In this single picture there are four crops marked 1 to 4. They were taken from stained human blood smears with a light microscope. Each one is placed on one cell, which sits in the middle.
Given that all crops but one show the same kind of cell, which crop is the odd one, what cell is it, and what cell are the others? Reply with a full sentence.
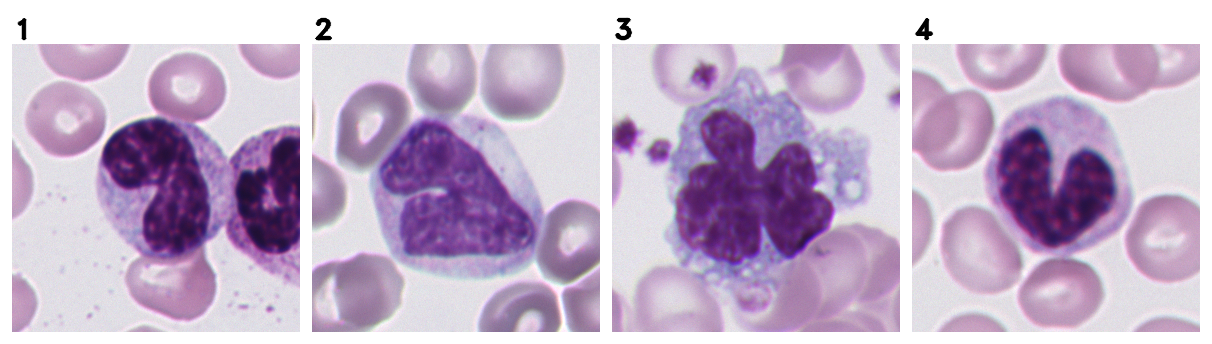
Of the crops, all show band neutrophils save crop 3, which shows a monocyte.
